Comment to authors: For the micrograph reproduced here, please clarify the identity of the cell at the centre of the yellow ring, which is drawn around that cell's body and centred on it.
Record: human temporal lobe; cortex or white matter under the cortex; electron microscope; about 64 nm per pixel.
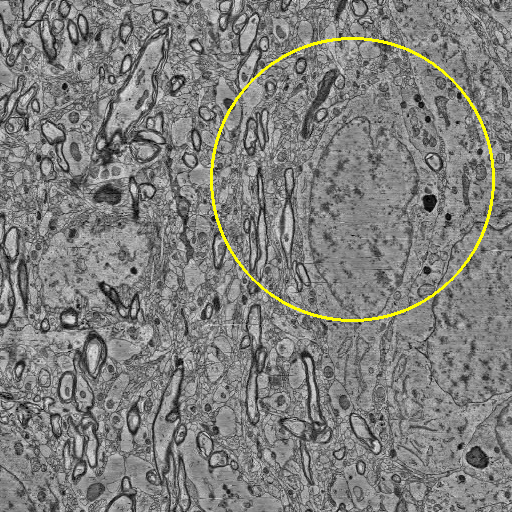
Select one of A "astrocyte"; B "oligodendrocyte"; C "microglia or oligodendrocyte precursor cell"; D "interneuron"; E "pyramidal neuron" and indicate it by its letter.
D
